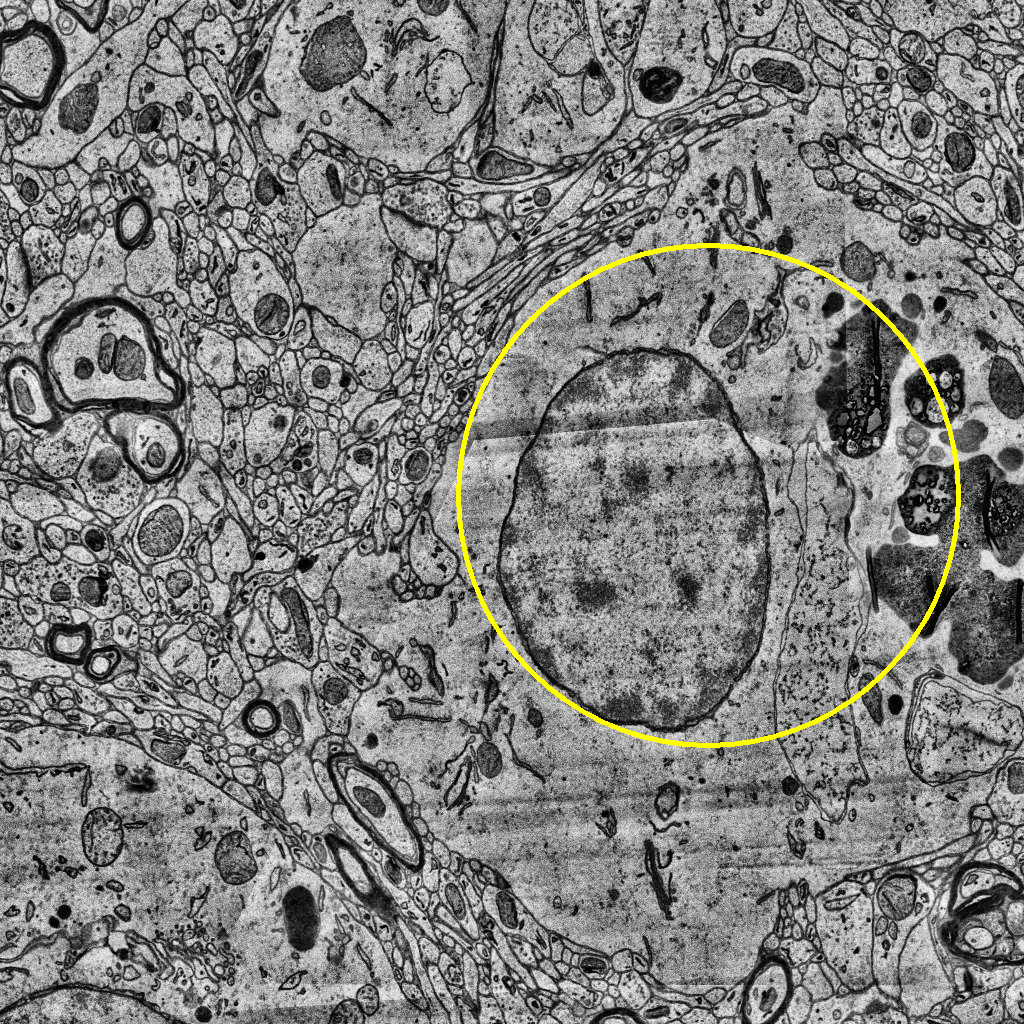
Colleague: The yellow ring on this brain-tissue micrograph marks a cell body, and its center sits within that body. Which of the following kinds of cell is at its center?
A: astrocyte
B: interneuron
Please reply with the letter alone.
A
